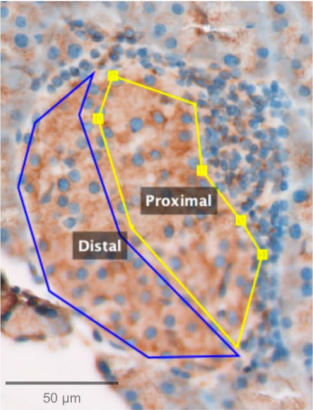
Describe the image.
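A pancreatic islet of Langerhans with a dense infiltrate of immune cells at its edge. The islet cells have round pale-blue nuclei and finely granular brown-stained cytoplasm, while the infiltrating cells beside them are small, crowded, with dark round nuclei and little cytoplasm.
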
